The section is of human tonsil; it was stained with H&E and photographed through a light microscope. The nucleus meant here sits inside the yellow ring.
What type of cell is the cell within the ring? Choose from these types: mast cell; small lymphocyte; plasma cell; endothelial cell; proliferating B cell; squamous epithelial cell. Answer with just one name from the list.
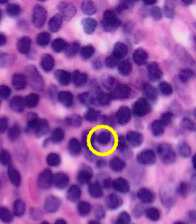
small lymphocyte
